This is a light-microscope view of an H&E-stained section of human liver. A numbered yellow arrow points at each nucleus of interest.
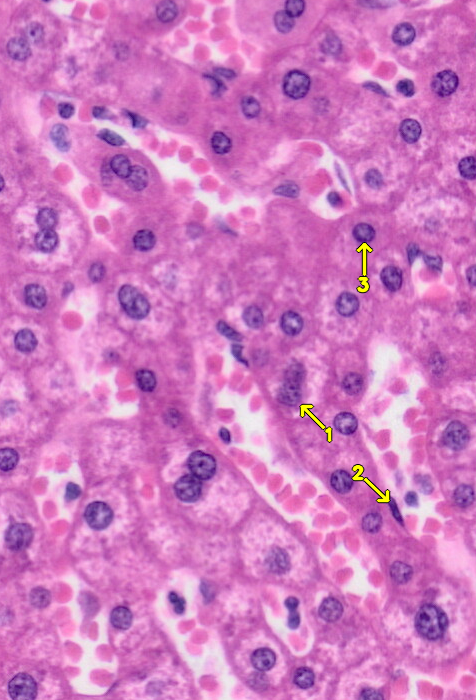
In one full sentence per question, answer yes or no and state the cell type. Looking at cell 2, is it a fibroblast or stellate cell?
Yes, it checks out; the cell labelled 2 is a fibroblast or stellate cell.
